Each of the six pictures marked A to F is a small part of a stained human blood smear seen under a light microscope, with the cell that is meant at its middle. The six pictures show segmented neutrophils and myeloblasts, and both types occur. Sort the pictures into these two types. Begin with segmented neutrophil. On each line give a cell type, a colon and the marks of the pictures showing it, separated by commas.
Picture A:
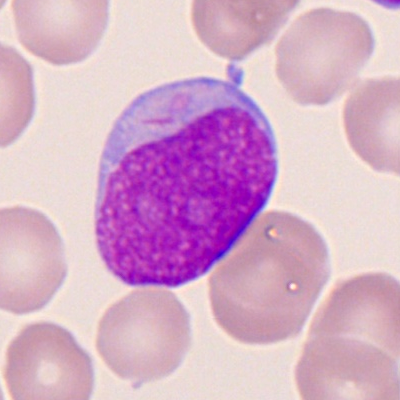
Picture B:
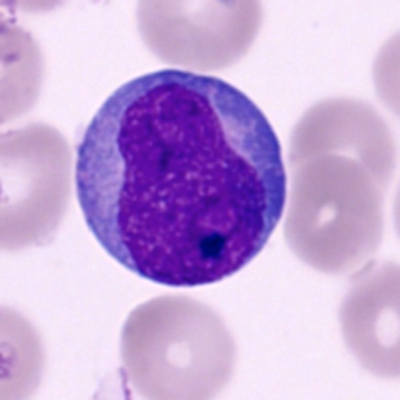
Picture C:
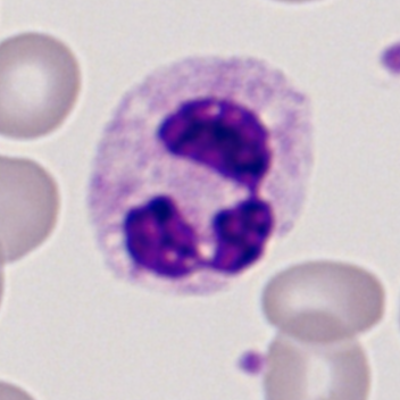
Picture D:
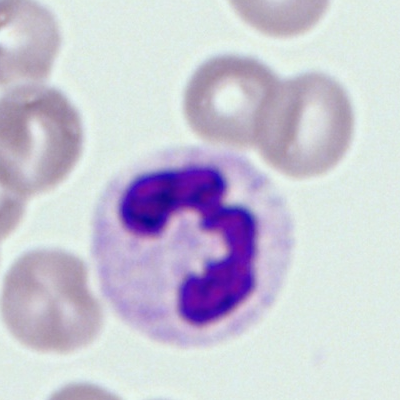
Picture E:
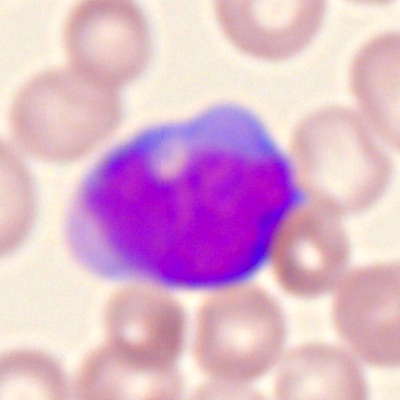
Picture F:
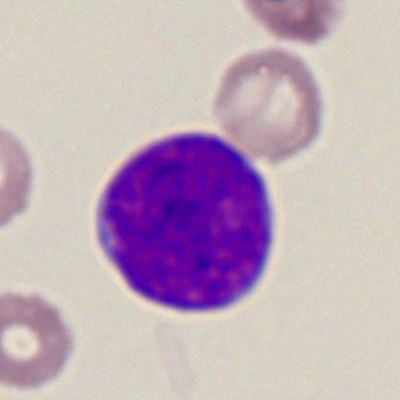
segmented neutrophil: C, D
myeloblast: A, B, E, F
